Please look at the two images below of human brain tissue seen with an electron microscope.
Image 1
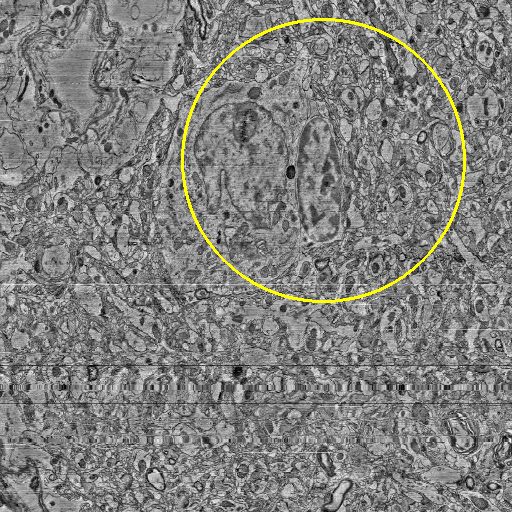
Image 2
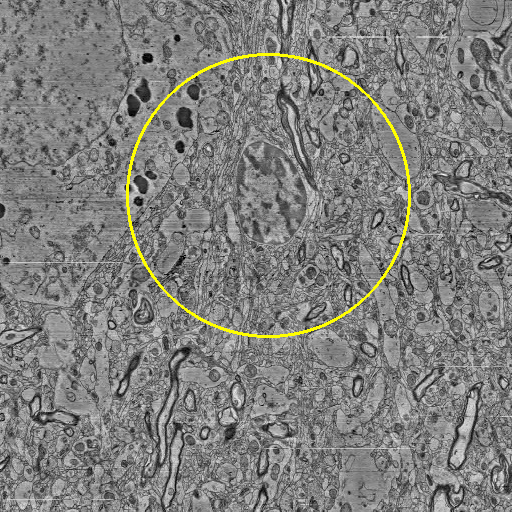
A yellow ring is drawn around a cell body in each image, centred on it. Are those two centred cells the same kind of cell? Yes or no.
yes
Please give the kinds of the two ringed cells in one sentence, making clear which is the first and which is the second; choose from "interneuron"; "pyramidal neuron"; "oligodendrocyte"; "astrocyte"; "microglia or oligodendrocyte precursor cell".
Each of the ringed cells, first and second, is a microglial cell or oligodendrocyte precursor cell.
